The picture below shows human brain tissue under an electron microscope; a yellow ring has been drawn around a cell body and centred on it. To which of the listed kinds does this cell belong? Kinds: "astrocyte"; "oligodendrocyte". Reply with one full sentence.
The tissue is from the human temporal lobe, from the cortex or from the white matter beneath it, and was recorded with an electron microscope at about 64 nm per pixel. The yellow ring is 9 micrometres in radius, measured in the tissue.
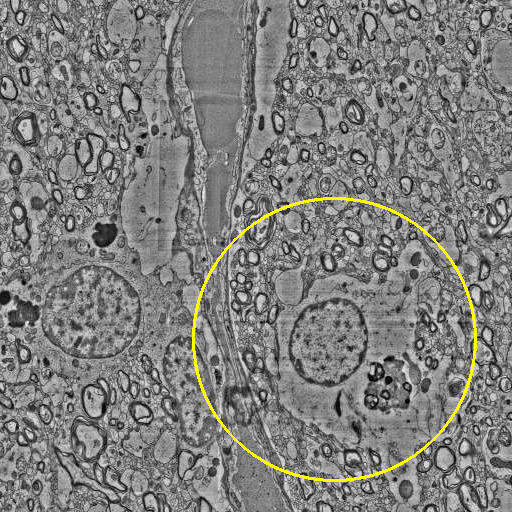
It is an astrocyte that the yellow ring in the picture is centred on.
